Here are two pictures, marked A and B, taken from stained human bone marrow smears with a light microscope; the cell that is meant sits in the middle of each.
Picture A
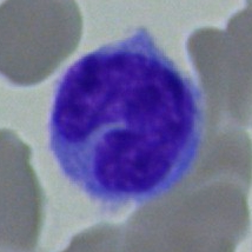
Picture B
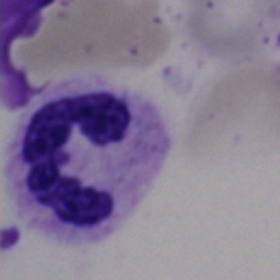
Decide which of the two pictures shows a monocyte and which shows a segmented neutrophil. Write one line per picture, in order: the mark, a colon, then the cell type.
A: monocyte
B: segmented neutrophil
